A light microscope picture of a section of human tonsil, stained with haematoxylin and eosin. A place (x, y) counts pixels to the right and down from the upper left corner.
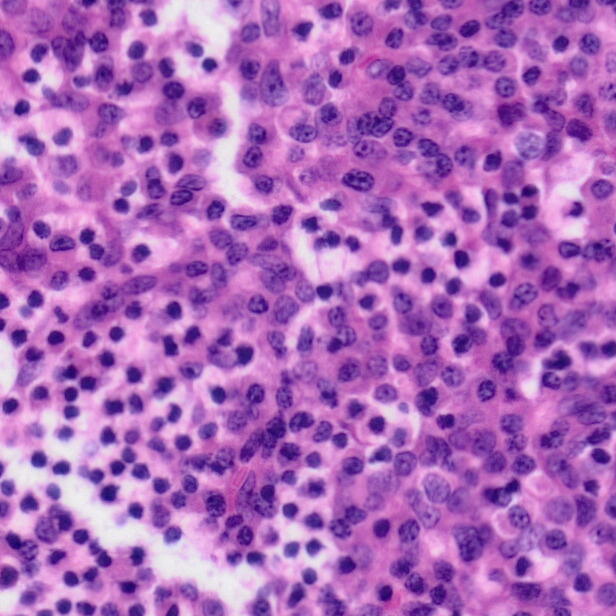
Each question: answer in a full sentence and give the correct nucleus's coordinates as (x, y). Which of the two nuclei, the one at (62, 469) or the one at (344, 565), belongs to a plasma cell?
Only the nucleus at (344, 565), of the two, belongs to a plasma cell.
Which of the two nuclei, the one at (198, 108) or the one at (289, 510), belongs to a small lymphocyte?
Of the two, the nucleus at (289, 510) is the one contained in a small lymphocyte.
